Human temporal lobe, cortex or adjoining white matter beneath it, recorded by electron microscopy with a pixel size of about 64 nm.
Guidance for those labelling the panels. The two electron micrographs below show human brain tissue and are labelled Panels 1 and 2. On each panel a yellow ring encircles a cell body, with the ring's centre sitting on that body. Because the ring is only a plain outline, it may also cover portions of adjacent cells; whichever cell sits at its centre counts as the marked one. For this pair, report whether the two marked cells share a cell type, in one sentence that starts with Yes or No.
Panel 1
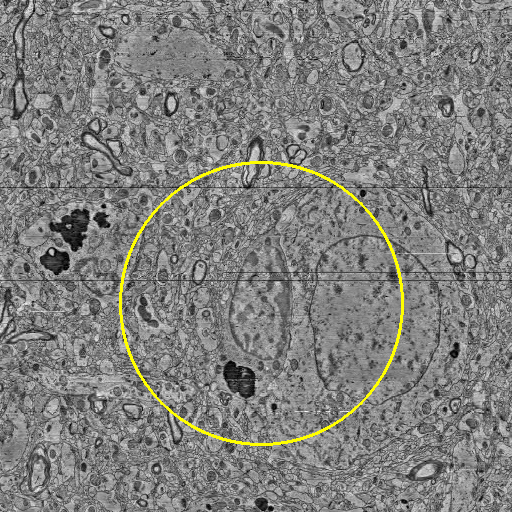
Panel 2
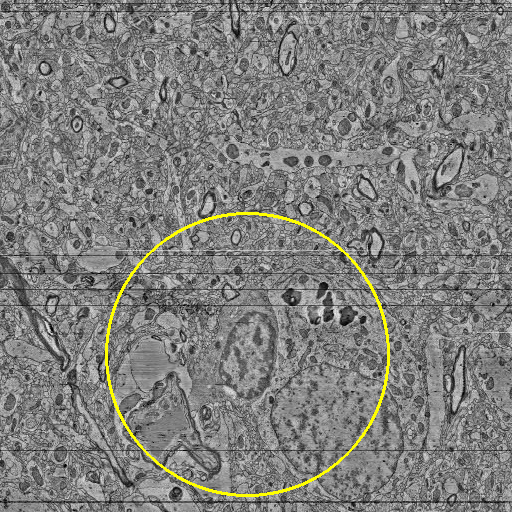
Yes, in Panel 1 and Panel 2 the marked cells at the ring centres share one type.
